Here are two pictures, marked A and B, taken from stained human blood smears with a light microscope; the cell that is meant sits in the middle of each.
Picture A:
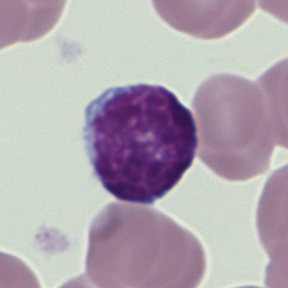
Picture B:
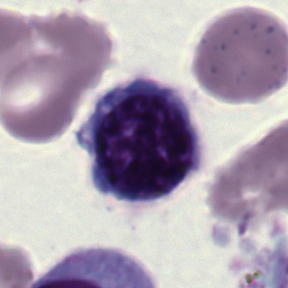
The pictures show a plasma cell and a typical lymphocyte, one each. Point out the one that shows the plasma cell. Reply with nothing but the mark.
B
